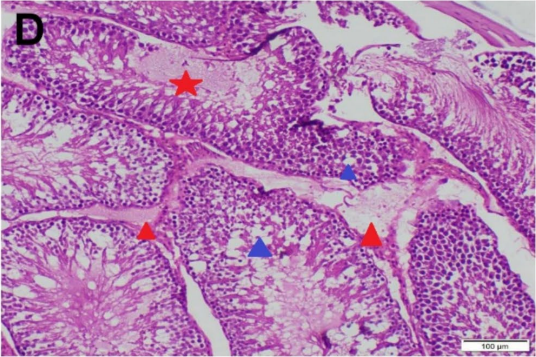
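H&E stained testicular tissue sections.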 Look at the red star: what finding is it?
intratubular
